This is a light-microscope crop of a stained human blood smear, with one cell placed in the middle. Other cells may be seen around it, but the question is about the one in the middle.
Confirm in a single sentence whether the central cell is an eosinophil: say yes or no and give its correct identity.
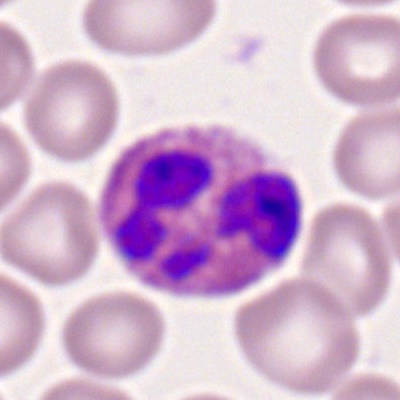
Yes, the cell in the middle of the view is an eosinophil.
